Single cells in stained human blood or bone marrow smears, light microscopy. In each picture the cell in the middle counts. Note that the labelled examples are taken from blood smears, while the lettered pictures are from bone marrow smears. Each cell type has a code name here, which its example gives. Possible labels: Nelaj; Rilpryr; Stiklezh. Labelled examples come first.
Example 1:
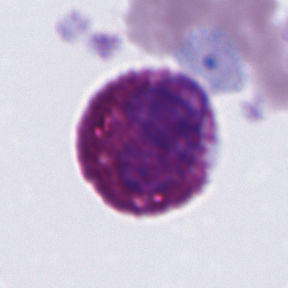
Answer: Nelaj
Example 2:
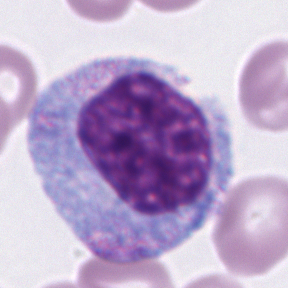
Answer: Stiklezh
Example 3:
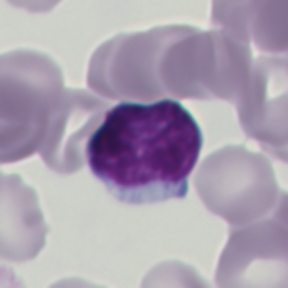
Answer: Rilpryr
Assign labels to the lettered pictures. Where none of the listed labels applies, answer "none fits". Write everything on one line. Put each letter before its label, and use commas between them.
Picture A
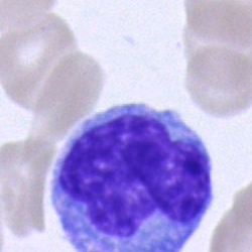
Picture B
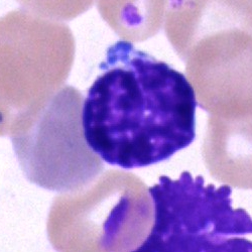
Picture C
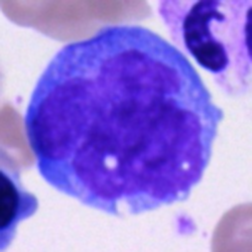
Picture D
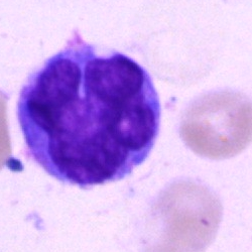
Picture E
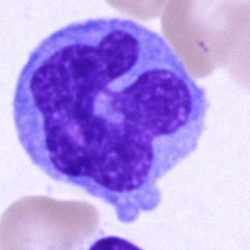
A none fits, B Rilpryr, C none fits, D none fits, E none fits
